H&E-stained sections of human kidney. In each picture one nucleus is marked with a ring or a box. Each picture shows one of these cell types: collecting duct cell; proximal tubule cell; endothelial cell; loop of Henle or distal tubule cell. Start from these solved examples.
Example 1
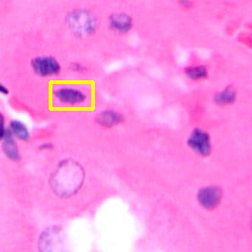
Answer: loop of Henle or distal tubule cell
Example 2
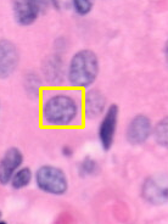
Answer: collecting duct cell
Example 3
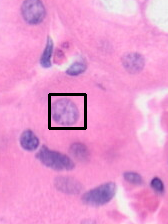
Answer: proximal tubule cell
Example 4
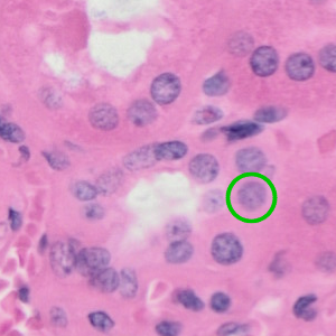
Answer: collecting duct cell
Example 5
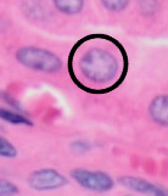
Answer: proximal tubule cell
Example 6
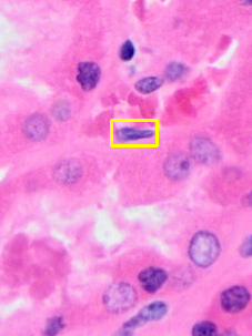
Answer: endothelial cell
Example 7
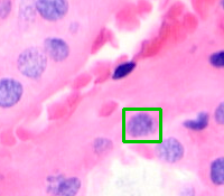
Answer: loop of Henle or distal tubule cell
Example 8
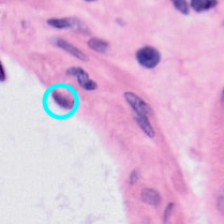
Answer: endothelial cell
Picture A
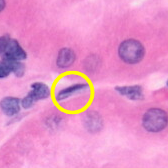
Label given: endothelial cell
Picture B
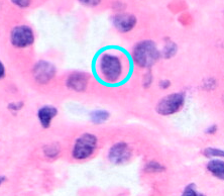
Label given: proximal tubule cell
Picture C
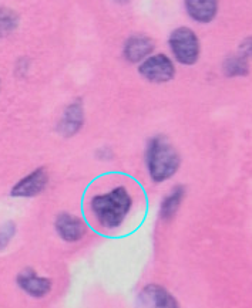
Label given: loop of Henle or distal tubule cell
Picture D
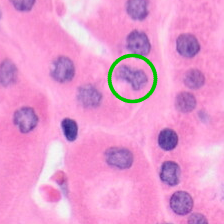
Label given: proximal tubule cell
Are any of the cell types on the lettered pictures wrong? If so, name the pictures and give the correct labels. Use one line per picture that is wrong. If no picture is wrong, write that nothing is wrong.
Wrong: B (proximal tubule cell); correct: loop of Henle or distal tubule cell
